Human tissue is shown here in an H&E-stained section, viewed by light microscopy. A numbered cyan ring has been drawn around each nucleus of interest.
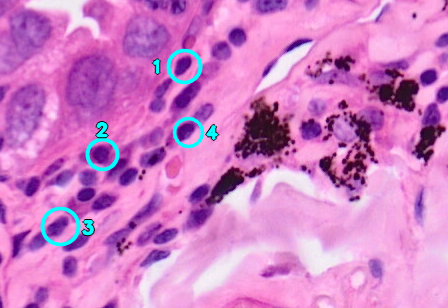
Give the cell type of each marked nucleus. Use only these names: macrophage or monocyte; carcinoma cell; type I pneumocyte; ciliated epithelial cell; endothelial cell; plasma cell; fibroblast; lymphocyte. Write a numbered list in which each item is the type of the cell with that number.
1. lymphocyte
2. plasma cell
3. lymphocyte
4. plasma cell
